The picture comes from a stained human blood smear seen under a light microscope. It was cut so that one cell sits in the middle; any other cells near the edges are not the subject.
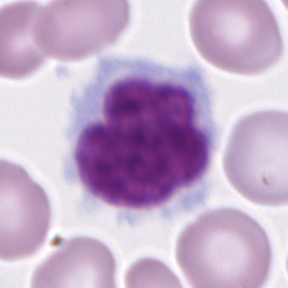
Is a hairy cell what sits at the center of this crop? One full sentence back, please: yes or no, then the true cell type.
Yes, a hairy cell is what the central cell is.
